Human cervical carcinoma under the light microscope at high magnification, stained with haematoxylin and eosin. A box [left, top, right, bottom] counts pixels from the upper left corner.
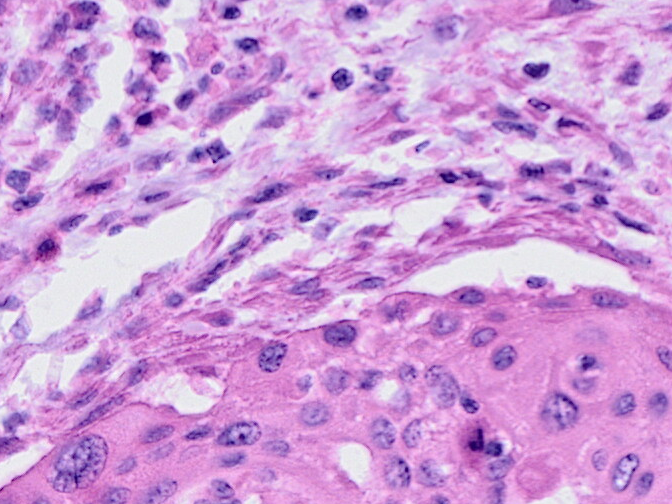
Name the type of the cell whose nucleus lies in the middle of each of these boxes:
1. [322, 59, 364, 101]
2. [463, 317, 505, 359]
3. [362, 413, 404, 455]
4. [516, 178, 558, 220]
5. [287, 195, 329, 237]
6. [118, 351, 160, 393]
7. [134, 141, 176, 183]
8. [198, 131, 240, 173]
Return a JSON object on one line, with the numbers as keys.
{"1": "lymphocyte", "2": "squamous carcinoma cell", "3": "squamous carcinoma cell", "4": "fibroblast", "5": "lymphocyte", "6": "fibroblast", "7": "fibroblast", "8": "lymphocyte"}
